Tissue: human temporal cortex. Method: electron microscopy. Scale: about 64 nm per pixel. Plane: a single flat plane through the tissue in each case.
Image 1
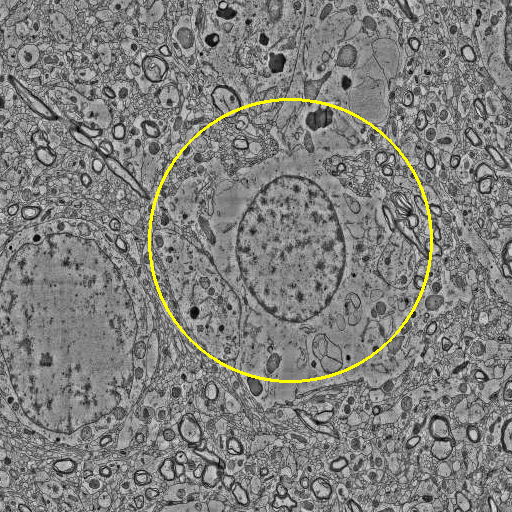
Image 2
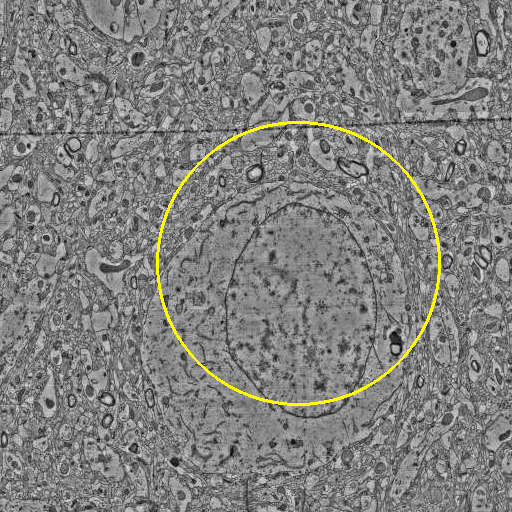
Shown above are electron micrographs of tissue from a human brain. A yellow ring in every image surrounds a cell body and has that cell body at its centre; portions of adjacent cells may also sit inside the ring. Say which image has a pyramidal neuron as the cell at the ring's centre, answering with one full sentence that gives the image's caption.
The image whose ring is centred on the requested cell is Image 2.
